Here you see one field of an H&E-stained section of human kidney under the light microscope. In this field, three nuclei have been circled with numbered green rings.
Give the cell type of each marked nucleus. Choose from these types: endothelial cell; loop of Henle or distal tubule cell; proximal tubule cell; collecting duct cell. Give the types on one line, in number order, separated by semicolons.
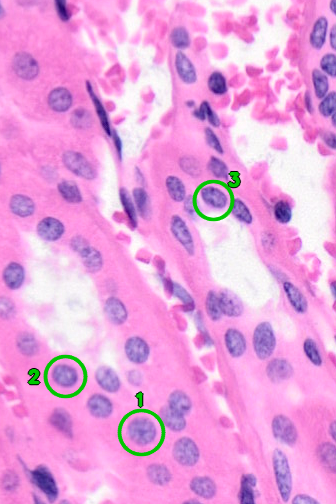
loop of Henle or distal tubule cell; loop of Henle or distal tubule cell; collecting duct cell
